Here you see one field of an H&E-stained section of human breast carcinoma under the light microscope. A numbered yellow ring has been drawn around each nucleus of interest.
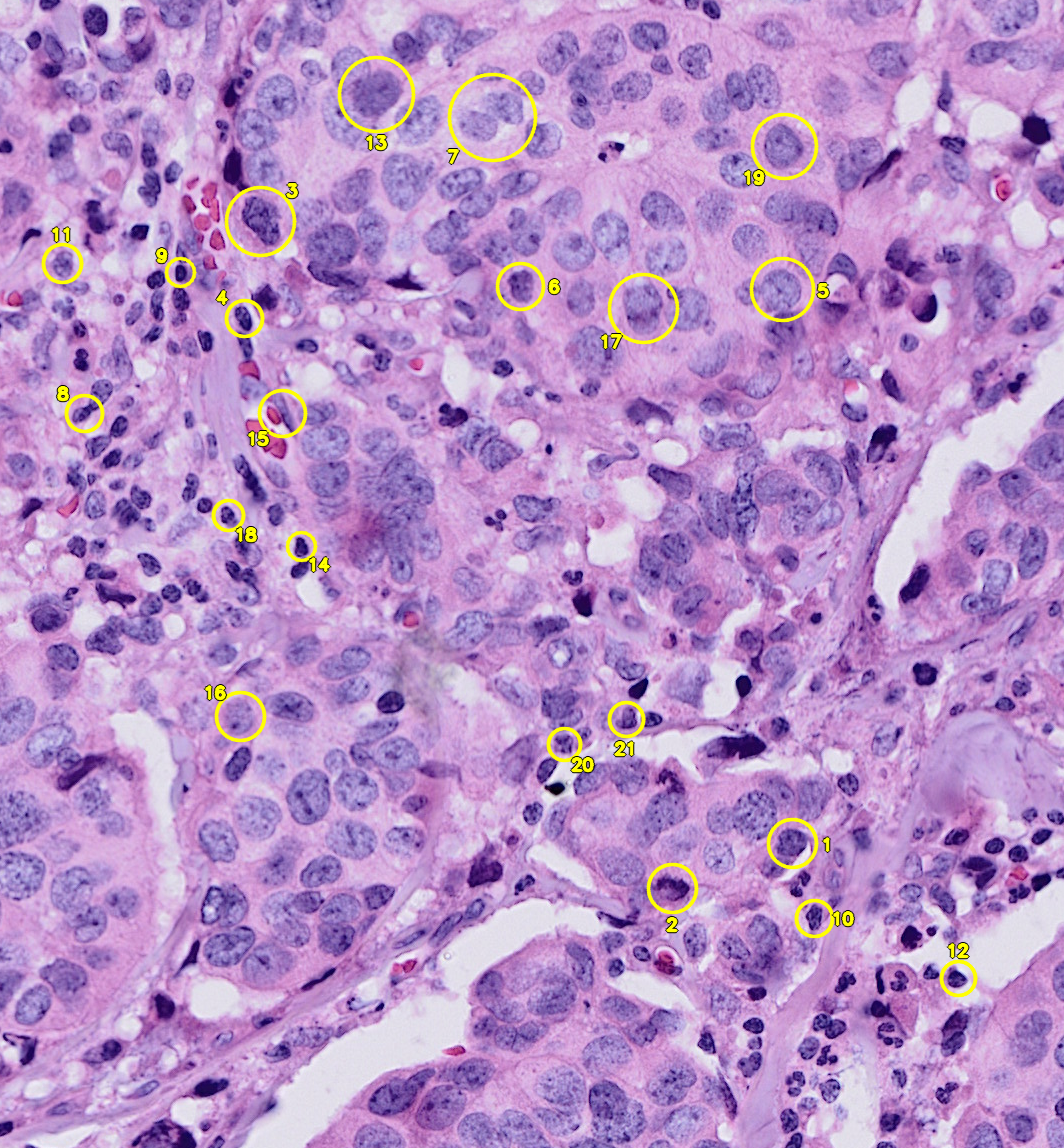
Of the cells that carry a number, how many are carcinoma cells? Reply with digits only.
10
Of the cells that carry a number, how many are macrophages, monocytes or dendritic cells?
1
